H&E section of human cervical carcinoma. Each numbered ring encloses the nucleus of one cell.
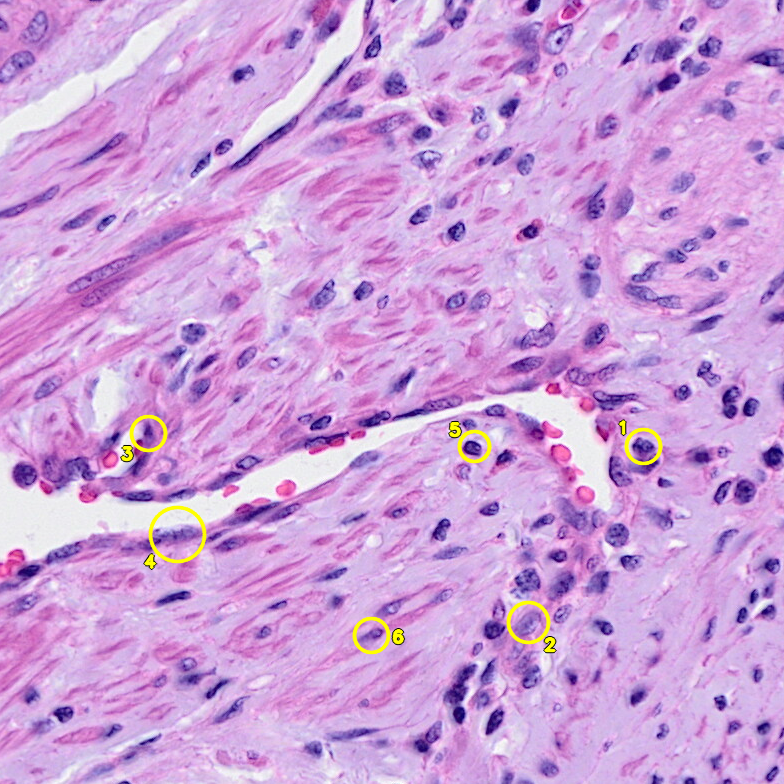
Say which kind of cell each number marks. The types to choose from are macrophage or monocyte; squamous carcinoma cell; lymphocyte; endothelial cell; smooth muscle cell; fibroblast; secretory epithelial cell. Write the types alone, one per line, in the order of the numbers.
lymphocyte
endothelial cell
endothelial cell
endothelial cell
lymphocyte
smooth muscle cell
